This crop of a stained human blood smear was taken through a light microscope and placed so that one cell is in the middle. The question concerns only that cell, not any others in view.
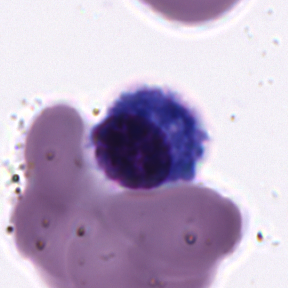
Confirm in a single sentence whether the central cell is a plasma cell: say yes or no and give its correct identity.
Yes, as for the central cell, it is a plasma cell.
